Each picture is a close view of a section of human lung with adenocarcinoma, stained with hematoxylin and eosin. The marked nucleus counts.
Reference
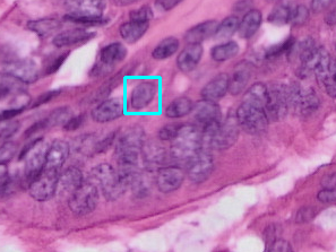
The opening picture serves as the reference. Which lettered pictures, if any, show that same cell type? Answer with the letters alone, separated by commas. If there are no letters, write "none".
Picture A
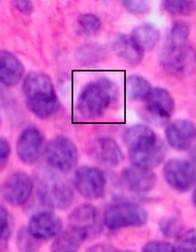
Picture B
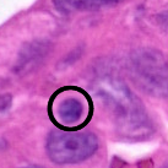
none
